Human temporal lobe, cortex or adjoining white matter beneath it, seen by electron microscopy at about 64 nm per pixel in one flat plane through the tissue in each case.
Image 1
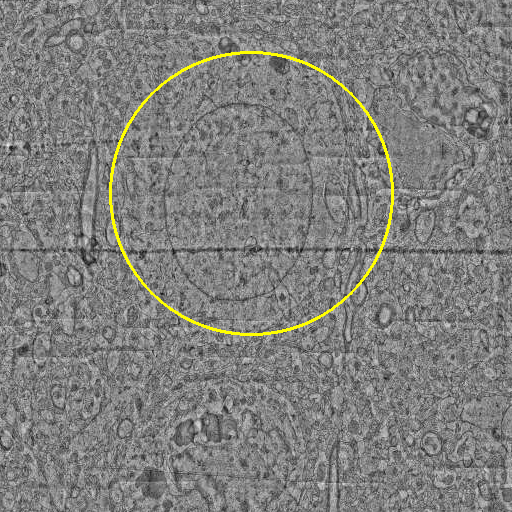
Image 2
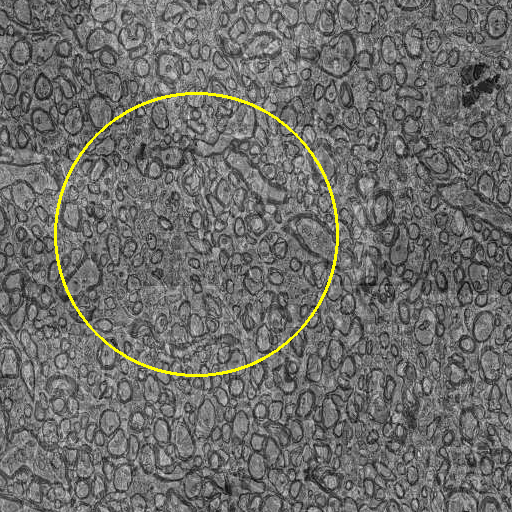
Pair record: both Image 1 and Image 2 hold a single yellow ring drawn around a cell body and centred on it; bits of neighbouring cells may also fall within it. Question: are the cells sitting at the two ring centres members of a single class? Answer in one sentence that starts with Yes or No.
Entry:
No, the ring-centre cells in Image 1 and Image 2 come from two classes.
